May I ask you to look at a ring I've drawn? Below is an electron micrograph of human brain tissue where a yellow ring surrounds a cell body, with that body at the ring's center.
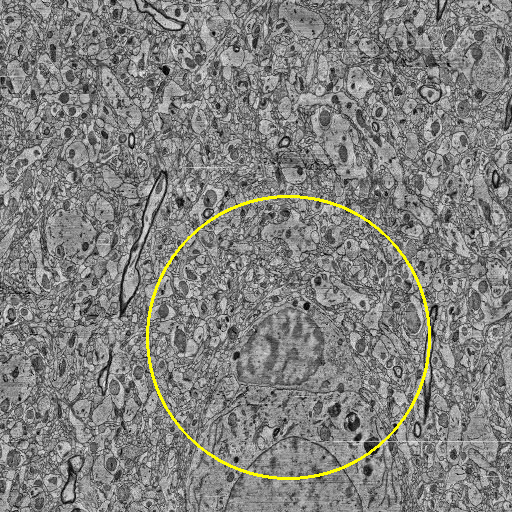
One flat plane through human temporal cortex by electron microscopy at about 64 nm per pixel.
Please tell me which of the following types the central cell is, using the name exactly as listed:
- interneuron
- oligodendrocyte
oligodendrocyte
